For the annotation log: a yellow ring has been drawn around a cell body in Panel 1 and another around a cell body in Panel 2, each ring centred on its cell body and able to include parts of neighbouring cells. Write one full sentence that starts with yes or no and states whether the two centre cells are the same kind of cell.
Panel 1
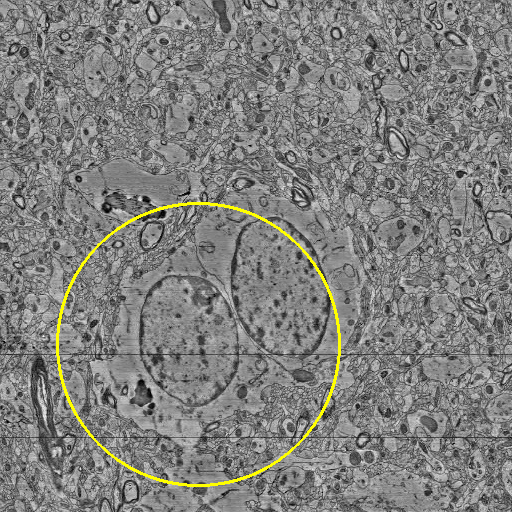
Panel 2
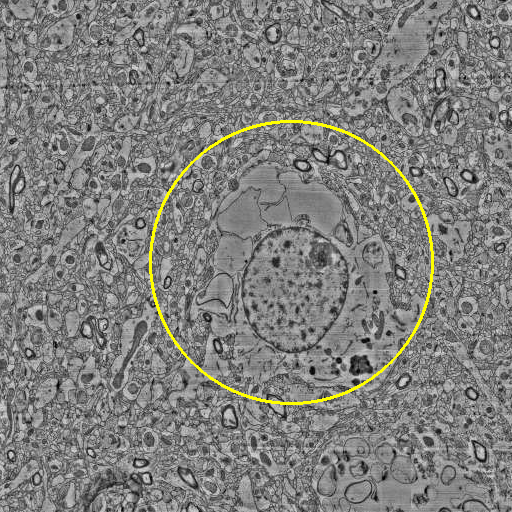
Yes, the two centre cells are the same kind of cell.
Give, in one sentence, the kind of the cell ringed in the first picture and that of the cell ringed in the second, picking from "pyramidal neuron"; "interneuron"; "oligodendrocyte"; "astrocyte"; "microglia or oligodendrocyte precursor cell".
Each cell at the centre of a ring is an astrocyte.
